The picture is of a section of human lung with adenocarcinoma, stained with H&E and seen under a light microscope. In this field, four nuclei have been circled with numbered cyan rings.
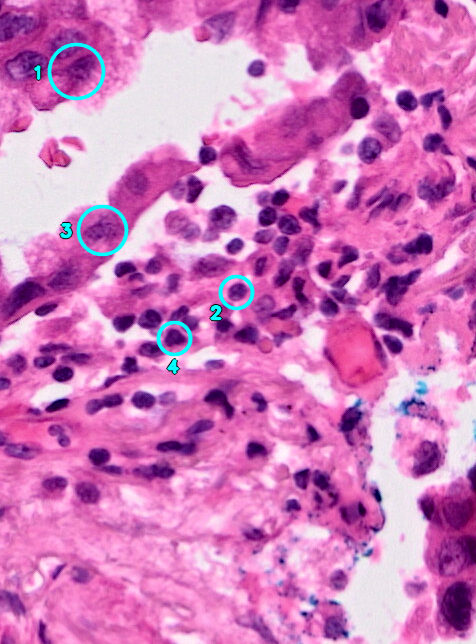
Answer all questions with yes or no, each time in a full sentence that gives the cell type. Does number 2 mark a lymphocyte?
Yes, the cell with the mark numbered 2 is a lymphocyte.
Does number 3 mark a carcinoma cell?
Yes, cell number 3 is identified here as a carcinoma cell.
